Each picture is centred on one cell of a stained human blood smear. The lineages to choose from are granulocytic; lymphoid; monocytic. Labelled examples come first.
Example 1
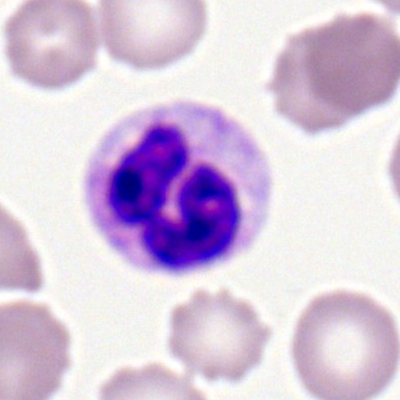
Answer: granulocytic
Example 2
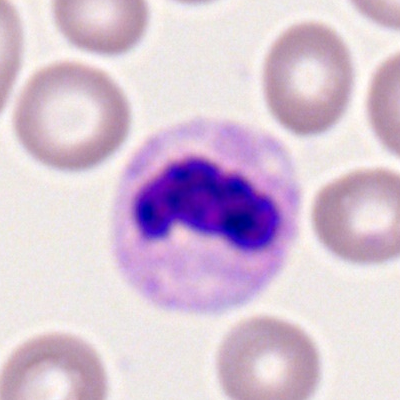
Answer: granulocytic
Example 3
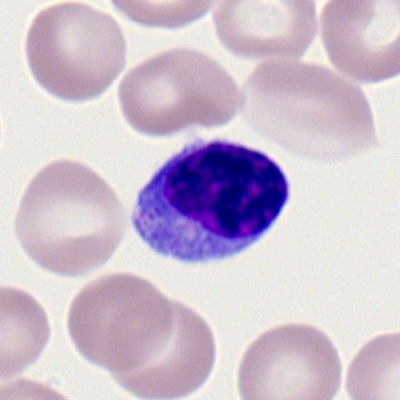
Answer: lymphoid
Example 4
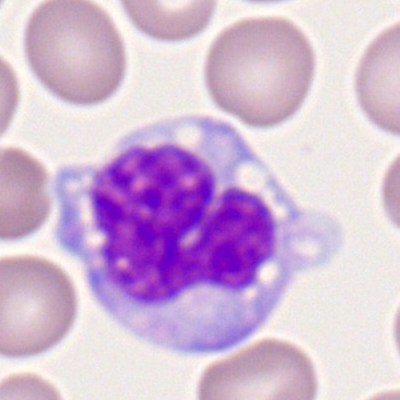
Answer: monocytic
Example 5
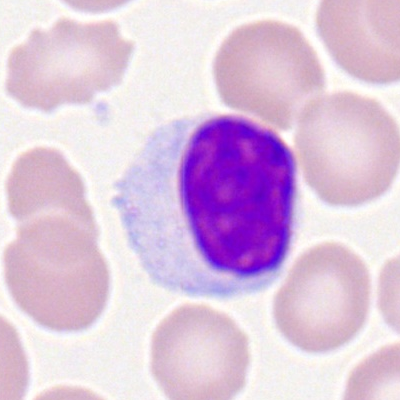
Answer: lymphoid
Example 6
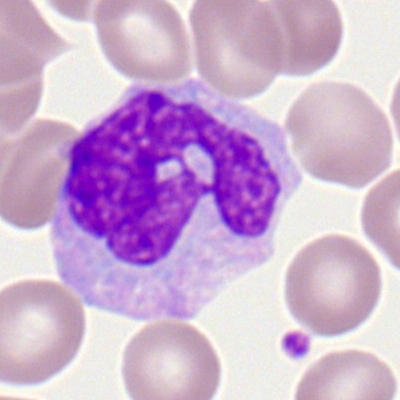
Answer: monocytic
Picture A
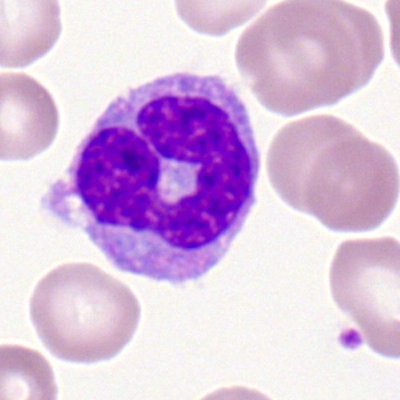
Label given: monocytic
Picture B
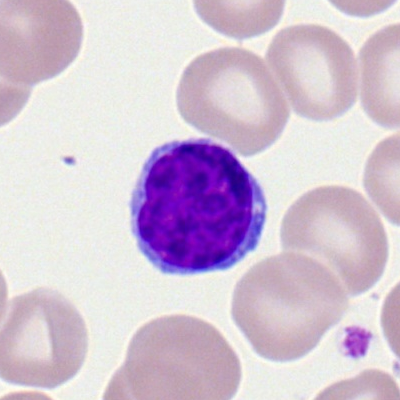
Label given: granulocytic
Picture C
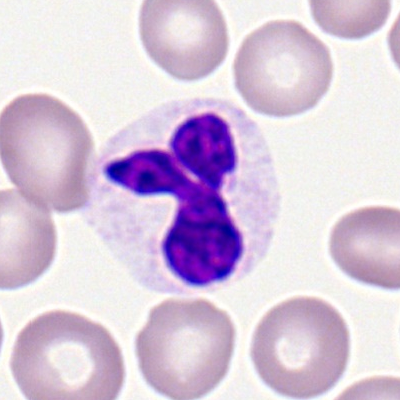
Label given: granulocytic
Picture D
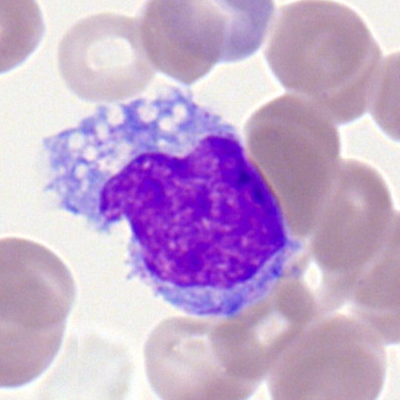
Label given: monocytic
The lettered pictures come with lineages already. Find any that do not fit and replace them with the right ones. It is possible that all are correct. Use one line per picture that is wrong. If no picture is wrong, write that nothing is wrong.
B should be lymphoid, not granulocytic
